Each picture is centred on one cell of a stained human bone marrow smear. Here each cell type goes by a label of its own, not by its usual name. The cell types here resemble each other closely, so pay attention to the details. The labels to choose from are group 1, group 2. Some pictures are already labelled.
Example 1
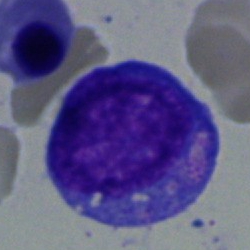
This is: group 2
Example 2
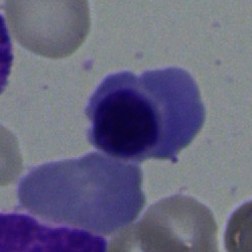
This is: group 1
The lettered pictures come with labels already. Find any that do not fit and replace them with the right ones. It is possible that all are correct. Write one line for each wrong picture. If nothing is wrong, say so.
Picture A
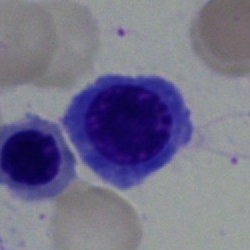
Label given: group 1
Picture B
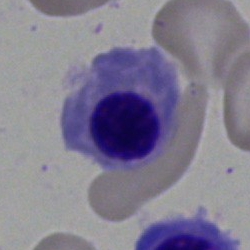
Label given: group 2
Wrong: B (group 2); correct: group 1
